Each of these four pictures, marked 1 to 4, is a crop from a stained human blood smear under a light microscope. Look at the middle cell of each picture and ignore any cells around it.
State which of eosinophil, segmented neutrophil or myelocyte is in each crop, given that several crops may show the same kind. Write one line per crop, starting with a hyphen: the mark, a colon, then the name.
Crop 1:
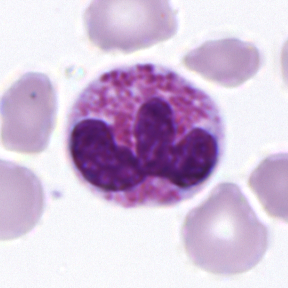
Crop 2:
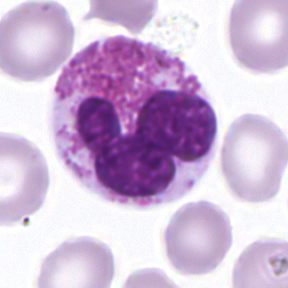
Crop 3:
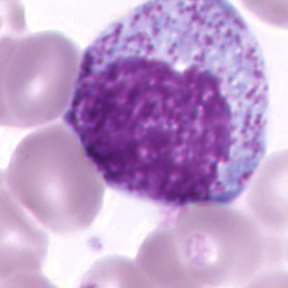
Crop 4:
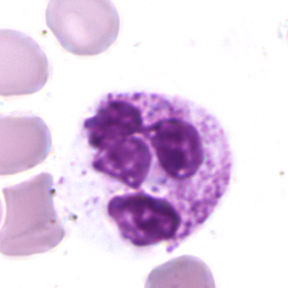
- 1: eosinophil
- 2: eosinophil
- 3: myelocyte
- 4: segmented neutrophil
